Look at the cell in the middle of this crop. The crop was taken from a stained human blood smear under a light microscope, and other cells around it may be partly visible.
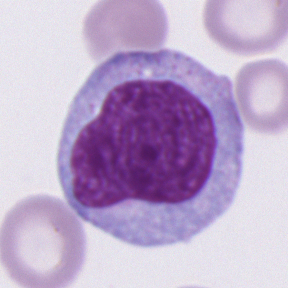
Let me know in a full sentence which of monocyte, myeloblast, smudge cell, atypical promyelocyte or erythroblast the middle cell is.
The cell shown in the center of this light-microscope crop is a monocyte.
